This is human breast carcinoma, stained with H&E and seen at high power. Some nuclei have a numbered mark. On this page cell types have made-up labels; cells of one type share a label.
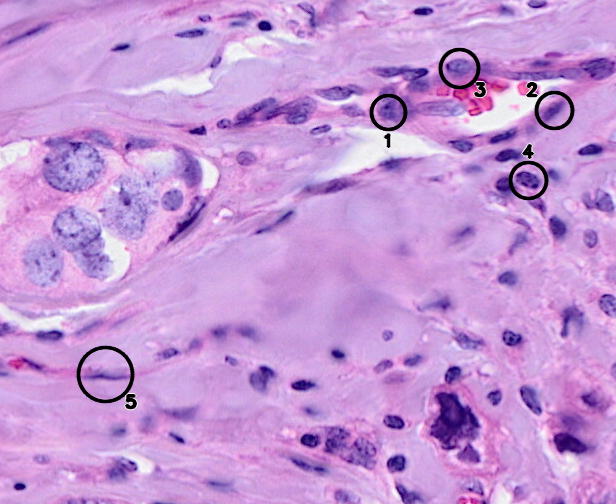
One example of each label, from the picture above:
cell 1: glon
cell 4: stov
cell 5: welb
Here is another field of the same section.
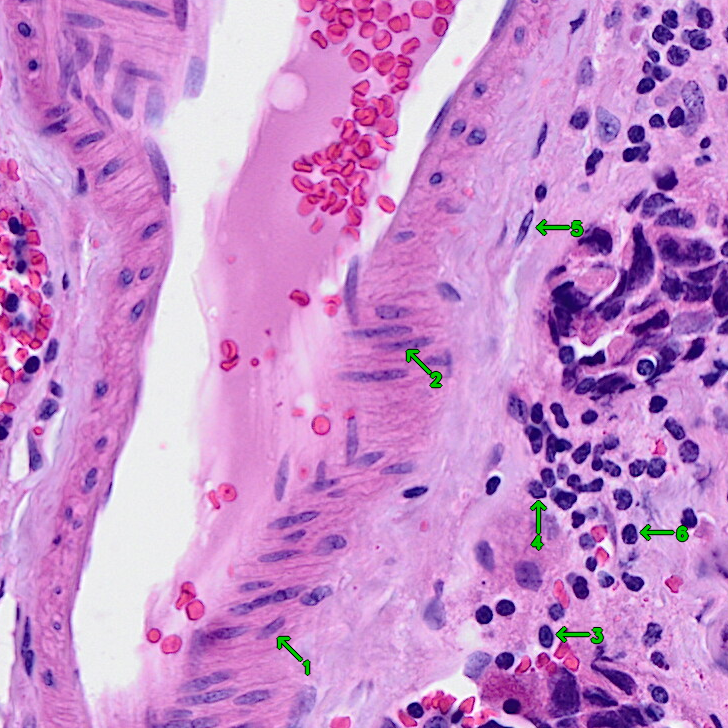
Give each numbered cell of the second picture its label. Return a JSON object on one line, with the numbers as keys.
{"1": "glon", "2": "glon", "3": "stov", "4": "stov", "5": "welb", "6": "stov"}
